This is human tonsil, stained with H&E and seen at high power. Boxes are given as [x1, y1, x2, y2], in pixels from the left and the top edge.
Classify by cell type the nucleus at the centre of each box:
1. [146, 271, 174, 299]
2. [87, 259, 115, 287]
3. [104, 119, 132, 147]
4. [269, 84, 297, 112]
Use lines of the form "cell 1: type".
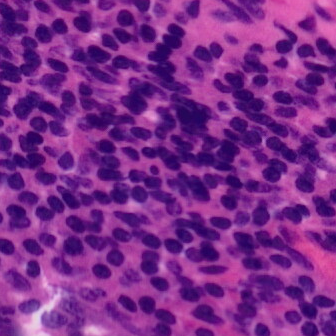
cell 1: plasma cell
cell 2: plasma cell
cell 3: small lymphocyte
cell 4: plasma cell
